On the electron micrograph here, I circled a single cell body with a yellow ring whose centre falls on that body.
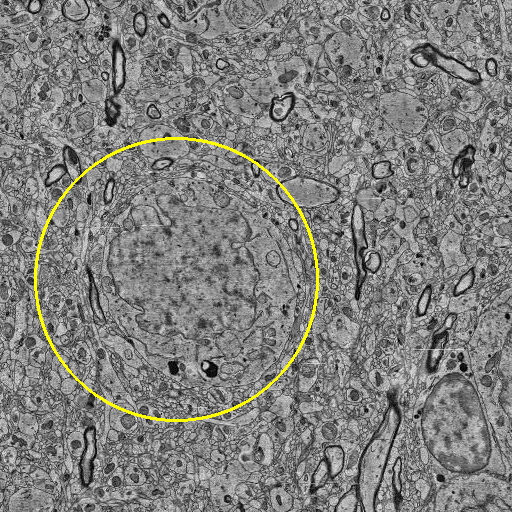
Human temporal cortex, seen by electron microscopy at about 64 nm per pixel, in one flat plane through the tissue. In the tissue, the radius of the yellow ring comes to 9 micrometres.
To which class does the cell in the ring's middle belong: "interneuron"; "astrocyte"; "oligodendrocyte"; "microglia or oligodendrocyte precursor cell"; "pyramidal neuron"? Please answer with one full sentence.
In this picture, the cell body circled at the ring's centre belongs to an interneuron.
